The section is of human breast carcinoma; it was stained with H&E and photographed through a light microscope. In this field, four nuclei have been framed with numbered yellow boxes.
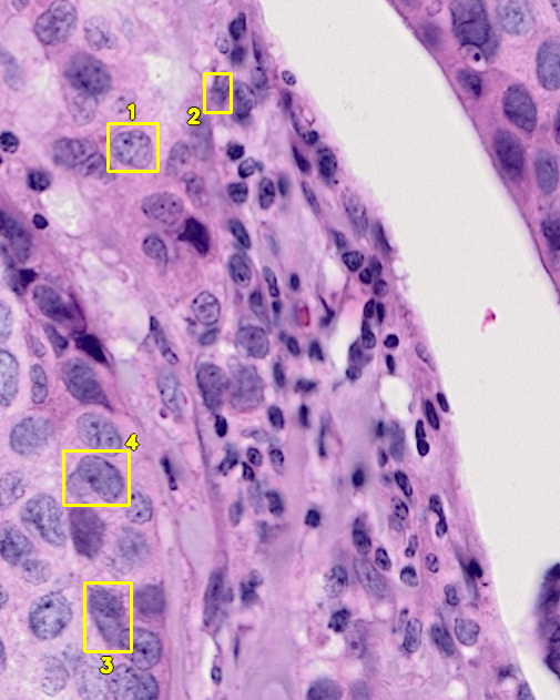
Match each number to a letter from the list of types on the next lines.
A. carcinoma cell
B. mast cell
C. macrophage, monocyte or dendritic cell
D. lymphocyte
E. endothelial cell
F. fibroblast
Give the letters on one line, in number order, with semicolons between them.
A; E; A; A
